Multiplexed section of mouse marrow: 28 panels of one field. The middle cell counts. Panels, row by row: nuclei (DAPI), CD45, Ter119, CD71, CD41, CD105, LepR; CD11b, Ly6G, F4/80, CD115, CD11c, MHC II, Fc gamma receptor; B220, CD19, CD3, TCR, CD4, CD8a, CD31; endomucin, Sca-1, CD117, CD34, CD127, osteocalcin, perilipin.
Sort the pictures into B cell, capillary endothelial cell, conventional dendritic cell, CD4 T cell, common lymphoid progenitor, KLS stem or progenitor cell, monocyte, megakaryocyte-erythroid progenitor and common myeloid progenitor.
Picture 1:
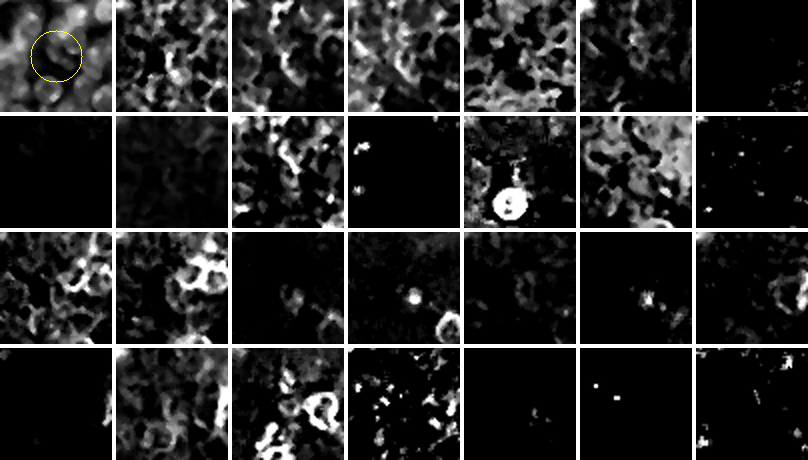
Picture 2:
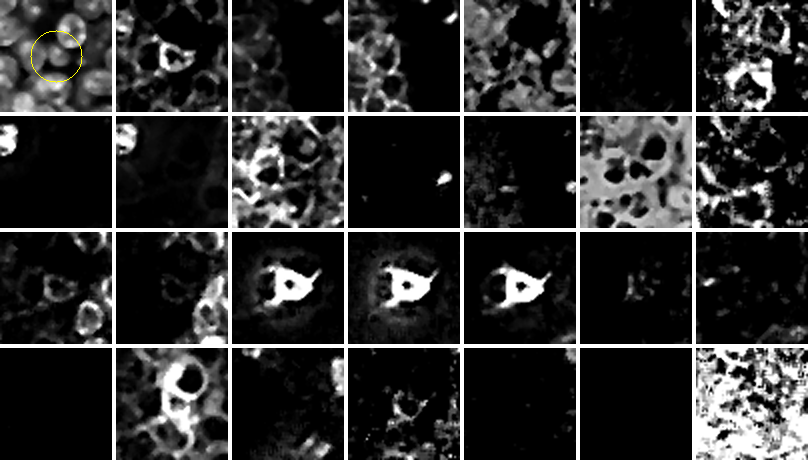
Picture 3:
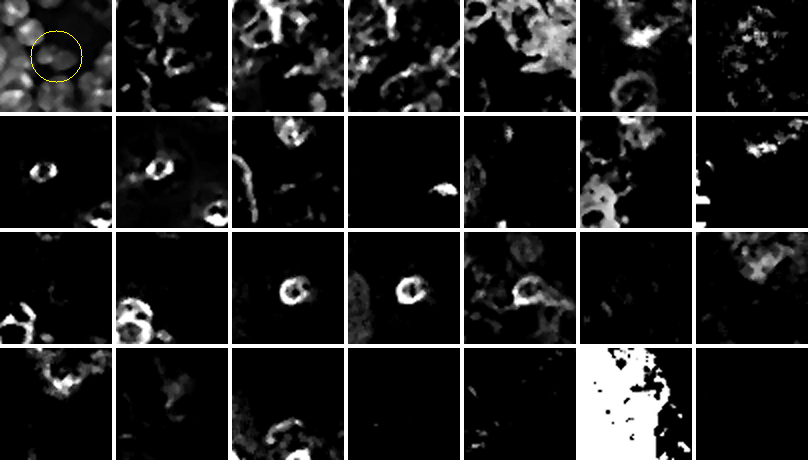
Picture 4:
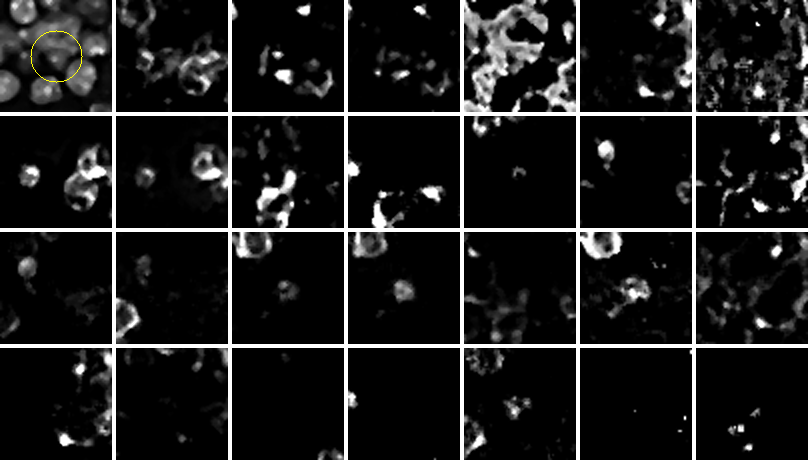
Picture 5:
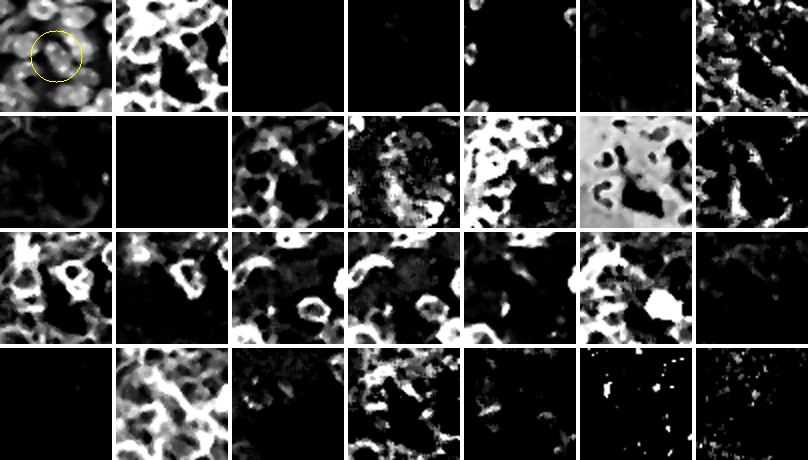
B cells: 1
CD4 T cells: 2, 3
Common lymphoid progenitors: 4
Conventional dendritic cells: 5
